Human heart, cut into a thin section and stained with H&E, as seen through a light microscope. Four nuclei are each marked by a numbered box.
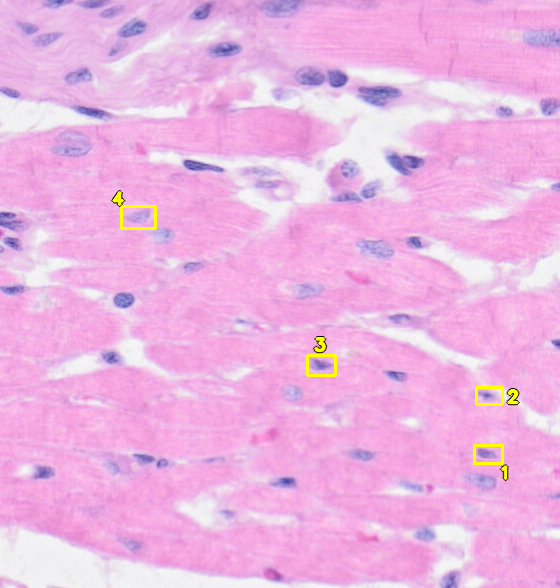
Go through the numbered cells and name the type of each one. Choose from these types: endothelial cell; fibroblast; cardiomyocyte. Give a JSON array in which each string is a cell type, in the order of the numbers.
["endothelial cell", "endothelial cell", "endothelial cell", "cardiomyocyte"]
